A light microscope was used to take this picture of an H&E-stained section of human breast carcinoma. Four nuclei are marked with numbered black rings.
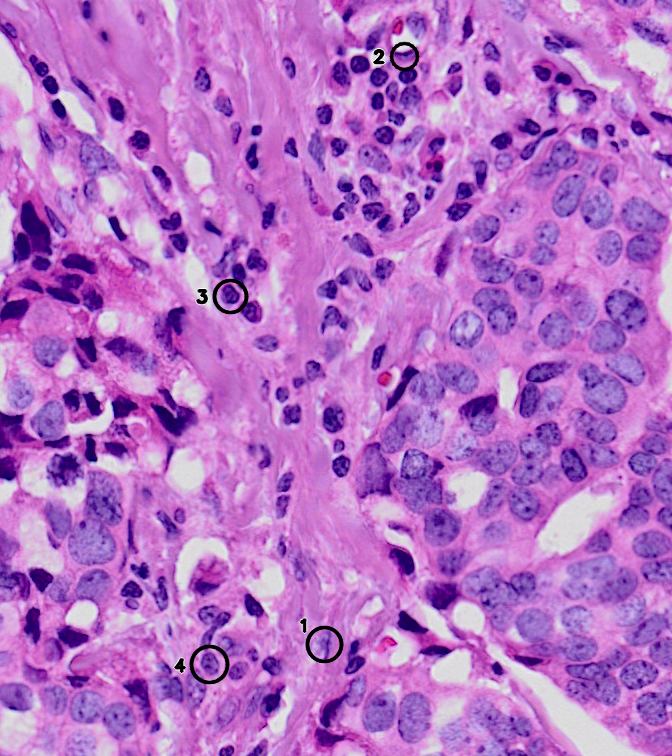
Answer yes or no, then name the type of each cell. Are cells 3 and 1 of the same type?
No, cell 3 is a lymphocyte, whereas cell 1, for its part, is a fibroblast.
